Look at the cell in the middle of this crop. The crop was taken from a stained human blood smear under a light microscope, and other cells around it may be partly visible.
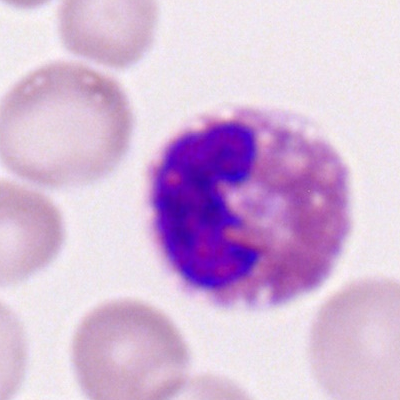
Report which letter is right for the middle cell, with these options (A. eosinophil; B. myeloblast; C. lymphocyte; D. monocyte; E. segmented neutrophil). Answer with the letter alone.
A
